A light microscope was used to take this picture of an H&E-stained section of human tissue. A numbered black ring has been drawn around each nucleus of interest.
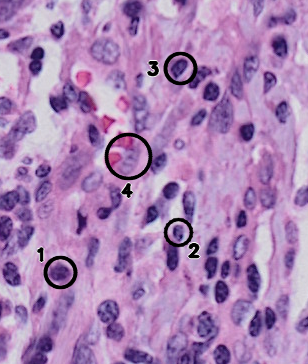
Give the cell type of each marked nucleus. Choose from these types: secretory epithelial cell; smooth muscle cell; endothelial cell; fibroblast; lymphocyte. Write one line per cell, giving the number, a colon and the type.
1: lymphocyte
2: lymphocyte
3: lymphocyte
4: endothelial cell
